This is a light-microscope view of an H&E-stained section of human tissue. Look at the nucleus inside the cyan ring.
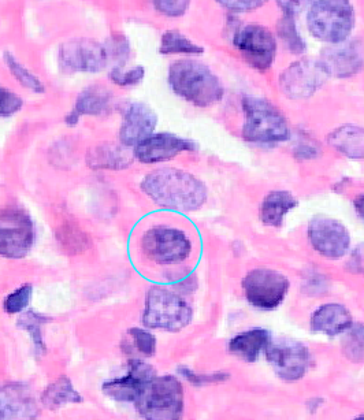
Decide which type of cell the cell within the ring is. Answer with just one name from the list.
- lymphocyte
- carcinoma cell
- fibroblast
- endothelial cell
carcinoma cell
